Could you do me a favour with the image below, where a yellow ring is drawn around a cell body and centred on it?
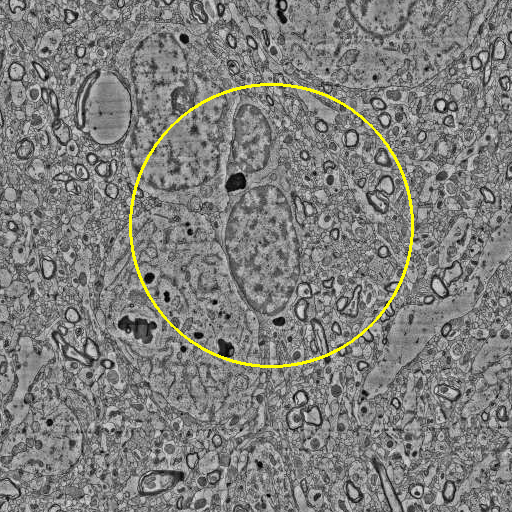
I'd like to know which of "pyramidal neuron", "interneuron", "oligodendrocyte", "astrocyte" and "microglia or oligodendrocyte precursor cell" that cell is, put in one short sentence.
The cell at the ring's centre is an oligodendrocyte.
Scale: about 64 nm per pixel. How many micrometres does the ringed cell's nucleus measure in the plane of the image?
Clearly longer than it is wide in this plane, the nucleus measures roughly 8 by 5 micrometres.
